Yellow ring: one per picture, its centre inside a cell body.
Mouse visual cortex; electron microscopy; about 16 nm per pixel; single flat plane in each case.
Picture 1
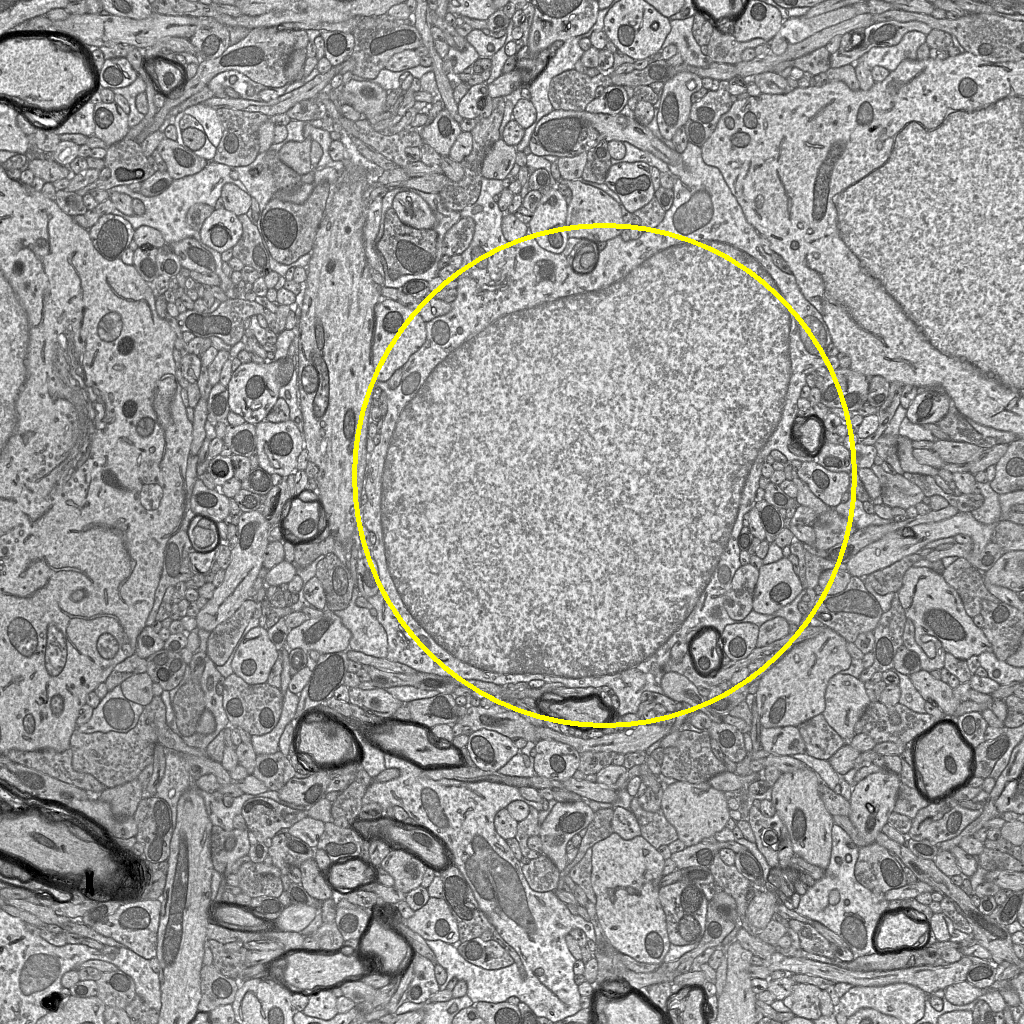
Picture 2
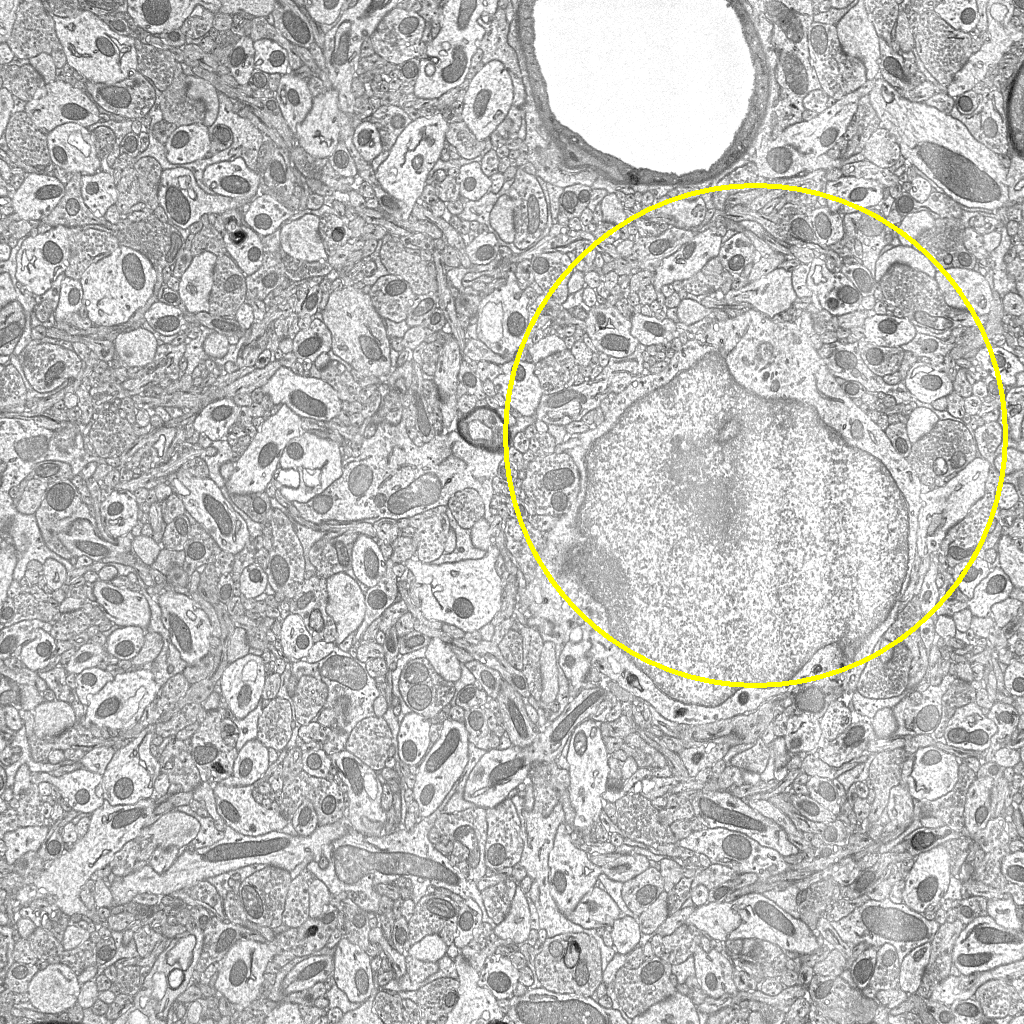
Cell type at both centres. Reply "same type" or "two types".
two types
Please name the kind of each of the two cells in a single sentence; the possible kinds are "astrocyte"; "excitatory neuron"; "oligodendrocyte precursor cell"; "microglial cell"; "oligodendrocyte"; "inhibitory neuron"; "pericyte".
The ring in the first picture surrounds an astrocyte, and the ring in the second surrounds an oligodendrocyte precursor cell.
